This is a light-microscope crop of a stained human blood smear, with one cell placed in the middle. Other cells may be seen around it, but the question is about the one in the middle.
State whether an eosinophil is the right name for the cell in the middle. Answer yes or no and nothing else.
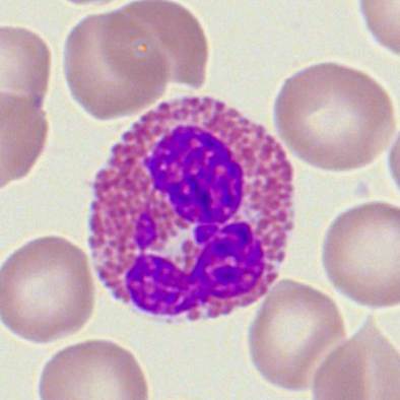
yes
